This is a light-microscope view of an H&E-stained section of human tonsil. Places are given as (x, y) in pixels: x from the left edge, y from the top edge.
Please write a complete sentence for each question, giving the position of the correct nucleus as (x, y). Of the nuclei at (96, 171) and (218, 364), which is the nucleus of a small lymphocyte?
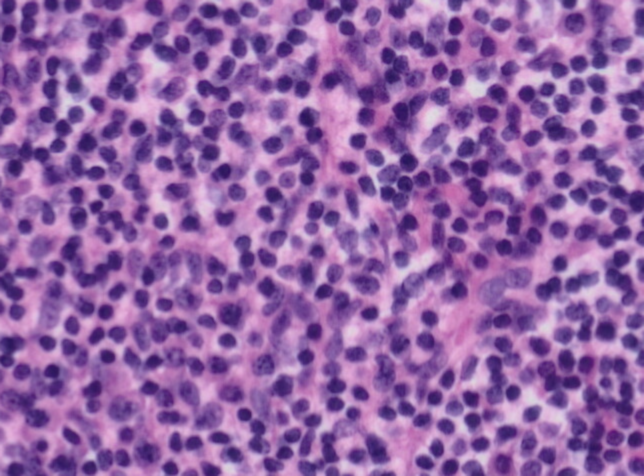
As for which of the two, the nucleus at (96, 171) belongs to a small lymphocyte.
